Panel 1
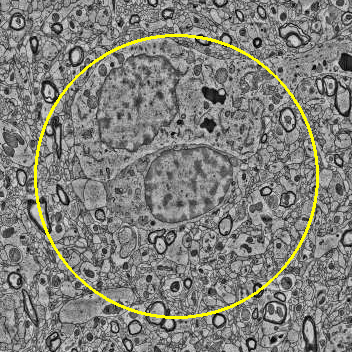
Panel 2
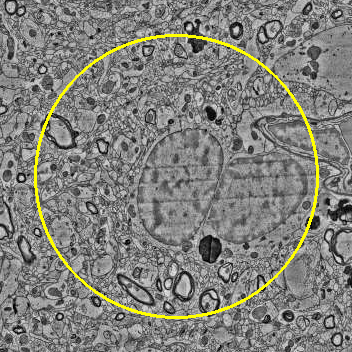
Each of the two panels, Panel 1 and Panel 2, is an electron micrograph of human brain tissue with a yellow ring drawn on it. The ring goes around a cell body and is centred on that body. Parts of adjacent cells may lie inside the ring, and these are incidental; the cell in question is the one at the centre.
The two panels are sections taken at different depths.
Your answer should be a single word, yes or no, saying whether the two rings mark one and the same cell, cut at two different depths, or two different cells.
no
